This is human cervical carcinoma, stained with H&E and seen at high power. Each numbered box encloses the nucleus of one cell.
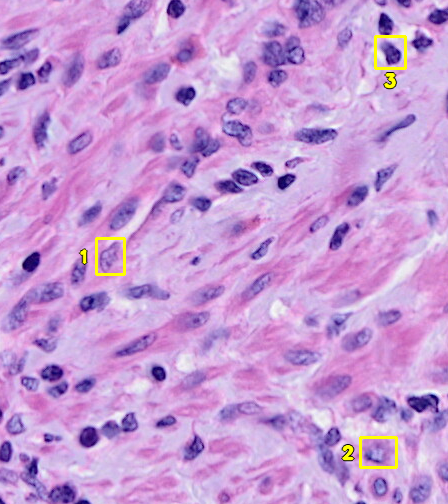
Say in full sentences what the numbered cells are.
Cell 1 is an endothelial cell. Cell 2 is a smooth muscle cell. Cell 3 is a lymphocyte.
